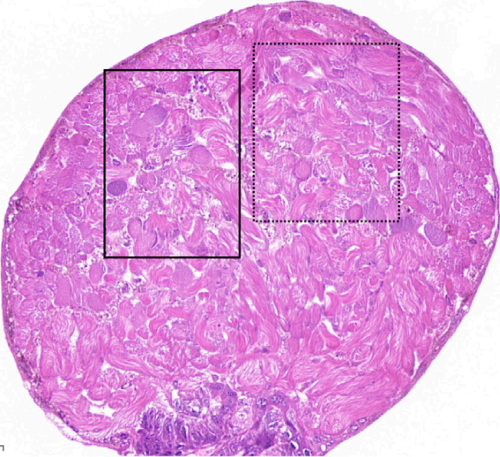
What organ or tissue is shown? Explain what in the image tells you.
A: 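A round organ section bounded by a thin outer wall. Interior filled with cysts of germ cells and wavy pink bundles of sperm. So: testes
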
